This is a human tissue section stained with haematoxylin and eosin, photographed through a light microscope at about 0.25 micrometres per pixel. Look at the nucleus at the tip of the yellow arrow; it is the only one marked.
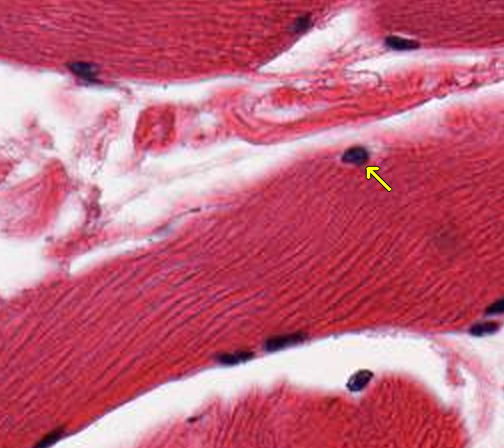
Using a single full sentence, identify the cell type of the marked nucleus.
The cell whose nucleus is marked is a skeletal muscle fibre.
